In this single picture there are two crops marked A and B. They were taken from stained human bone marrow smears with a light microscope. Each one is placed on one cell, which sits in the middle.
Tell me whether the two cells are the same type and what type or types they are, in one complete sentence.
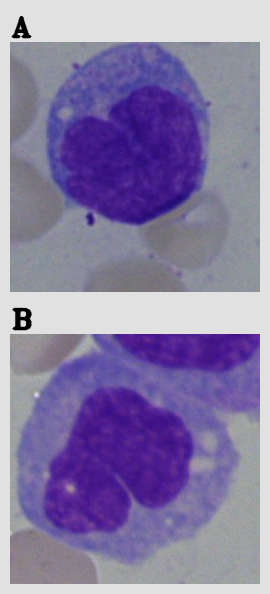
Yes, both crops show monocytes at their middles.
